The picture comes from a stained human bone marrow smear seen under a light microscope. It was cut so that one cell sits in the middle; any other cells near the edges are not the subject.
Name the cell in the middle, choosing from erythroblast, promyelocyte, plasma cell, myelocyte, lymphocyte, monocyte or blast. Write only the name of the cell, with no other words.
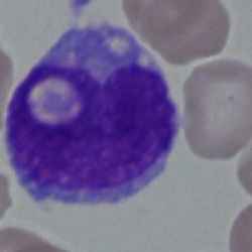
monocyte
